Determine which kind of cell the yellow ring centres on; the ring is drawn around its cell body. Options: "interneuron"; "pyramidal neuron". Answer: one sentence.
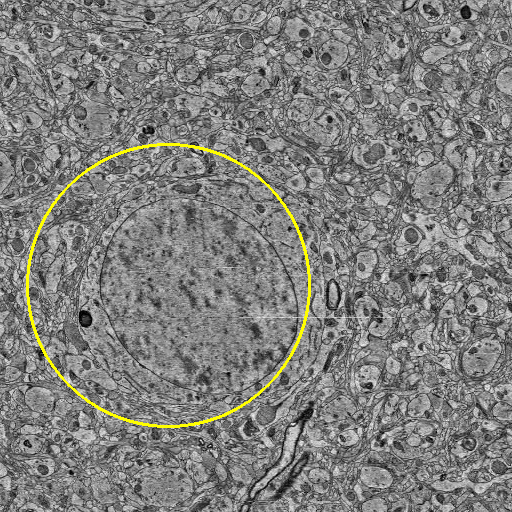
The ring centres on a pyramidal neuron.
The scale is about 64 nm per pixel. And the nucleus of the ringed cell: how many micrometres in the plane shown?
The ringed cell's nucleus is about 14 micrometres long and 12 micrometres wide in this plane.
